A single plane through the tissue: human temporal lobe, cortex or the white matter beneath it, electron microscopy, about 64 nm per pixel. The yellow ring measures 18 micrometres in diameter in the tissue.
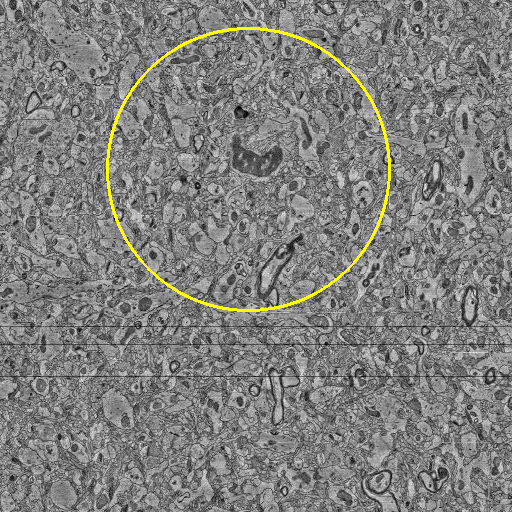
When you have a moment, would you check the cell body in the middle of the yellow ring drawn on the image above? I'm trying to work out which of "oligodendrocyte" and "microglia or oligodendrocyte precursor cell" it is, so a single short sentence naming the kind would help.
This cell body belongs to a microglial cell or oligodendrocyte precursor cell.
